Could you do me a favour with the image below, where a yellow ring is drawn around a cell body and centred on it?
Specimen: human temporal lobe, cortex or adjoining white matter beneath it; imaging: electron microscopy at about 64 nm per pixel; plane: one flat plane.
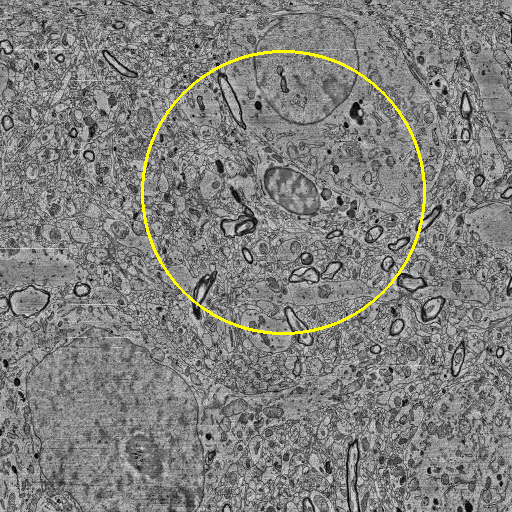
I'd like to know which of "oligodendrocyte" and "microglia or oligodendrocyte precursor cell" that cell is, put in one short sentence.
The cell at the ring's centre is a microglial cell or oligodendrocyte precursor cell.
